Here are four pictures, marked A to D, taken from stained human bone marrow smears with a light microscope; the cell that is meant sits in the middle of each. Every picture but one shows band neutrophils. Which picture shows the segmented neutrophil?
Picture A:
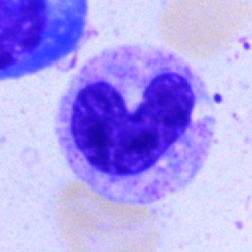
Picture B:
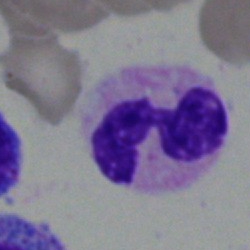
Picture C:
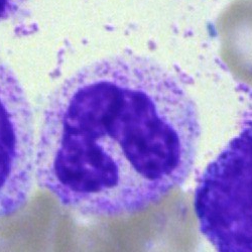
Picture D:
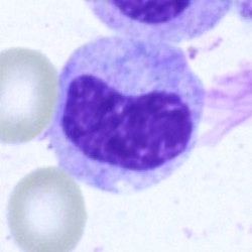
B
